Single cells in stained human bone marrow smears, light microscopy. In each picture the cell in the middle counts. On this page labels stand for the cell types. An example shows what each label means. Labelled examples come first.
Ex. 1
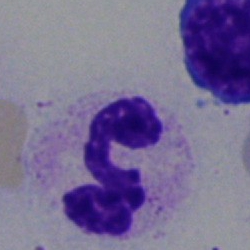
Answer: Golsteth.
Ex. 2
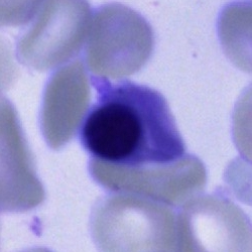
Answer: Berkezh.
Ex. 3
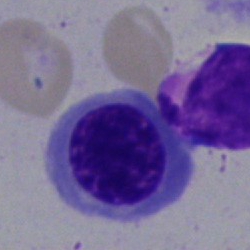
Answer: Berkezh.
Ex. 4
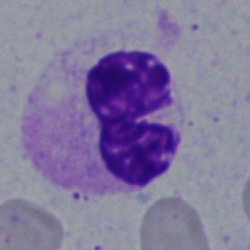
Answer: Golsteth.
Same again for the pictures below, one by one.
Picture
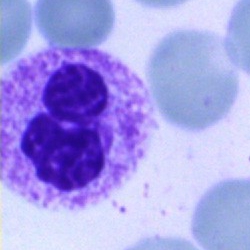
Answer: Golsteth.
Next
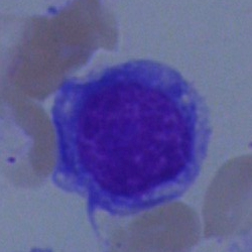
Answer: Berkezh.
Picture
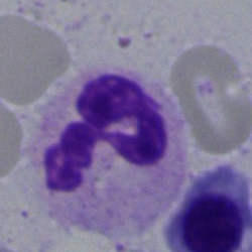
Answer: Golsteth.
